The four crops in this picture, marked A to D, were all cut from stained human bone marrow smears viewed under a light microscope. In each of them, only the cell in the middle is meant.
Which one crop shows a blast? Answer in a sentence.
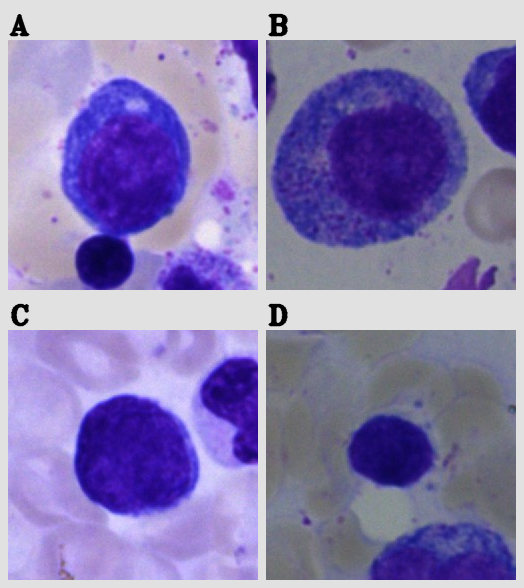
The crop marked C is the one in which a blast is shown.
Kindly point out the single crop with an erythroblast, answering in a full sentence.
Identified crop: A, the one that shows an erythroblast.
